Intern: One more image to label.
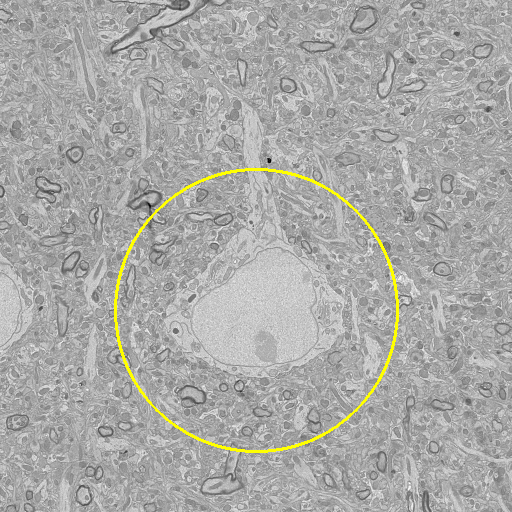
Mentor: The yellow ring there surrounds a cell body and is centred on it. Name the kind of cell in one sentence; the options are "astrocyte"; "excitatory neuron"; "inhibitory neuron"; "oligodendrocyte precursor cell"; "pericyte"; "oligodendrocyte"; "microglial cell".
The ring marks the cell body of an excitatory neuron.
